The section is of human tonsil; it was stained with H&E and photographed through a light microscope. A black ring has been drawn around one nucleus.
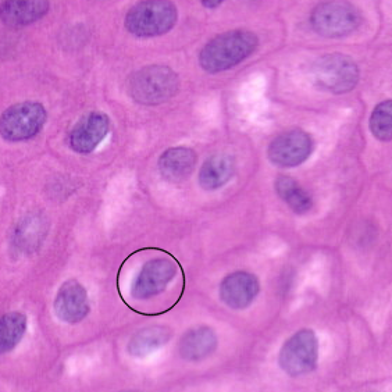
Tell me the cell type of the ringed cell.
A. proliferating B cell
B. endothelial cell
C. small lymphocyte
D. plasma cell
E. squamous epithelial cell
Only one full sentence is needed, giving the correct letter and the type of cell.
Settle on option E; the ringed cell is a squamous epithelial cell.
